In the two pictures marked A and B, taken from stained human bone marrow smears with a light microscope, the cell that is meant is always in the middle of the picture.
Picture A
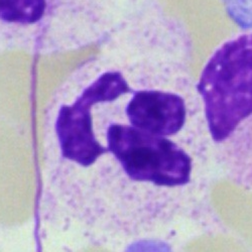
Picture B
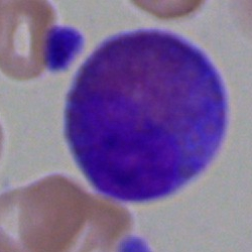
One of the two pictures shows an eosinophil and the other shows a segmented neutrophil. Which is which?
A: segmented neutrophil
B: eosinophil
